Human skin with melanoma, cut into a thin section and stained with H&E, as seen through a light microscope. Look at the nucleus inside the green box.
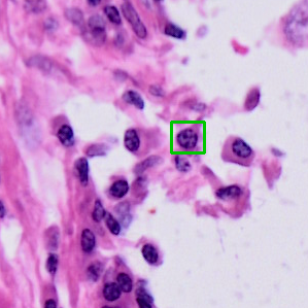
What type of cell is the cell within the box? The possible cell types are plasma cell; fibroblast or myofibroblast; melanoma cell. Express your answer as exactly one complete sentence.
As for its identity, the cell within the box is a plasma cell.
